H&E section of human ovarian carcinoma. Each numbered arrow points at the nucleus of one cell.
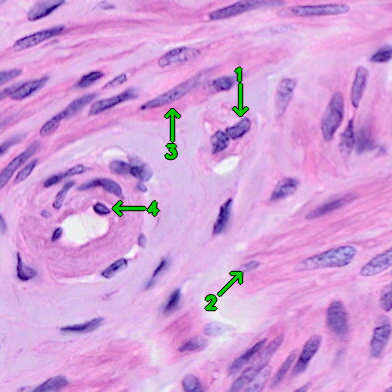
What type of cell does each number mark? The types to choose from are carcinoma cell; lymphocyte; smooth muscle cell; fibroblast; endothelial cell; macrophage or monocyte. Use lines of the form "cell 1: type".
cell 1: endothelial cell
cell 2: smooth muscle cell
cell 3: smooth muscle cell
cell 4: endothelial cell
